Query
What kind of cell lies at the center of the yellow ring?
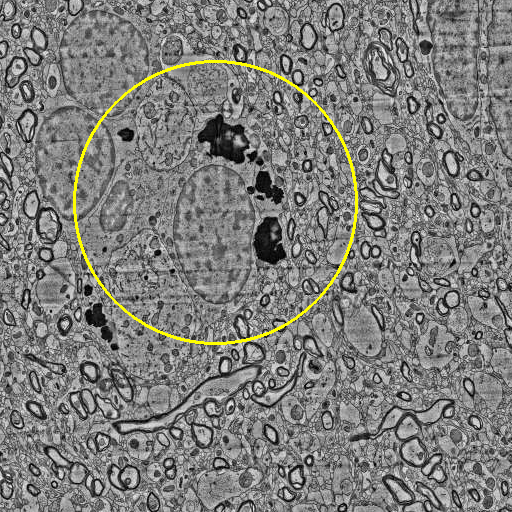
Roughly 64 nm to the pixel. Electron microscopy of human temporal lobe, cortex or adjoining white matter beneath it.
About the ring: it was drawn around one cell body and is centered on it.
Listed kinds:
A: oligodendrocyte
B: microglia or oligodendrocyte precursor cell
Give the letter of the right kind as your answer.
A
